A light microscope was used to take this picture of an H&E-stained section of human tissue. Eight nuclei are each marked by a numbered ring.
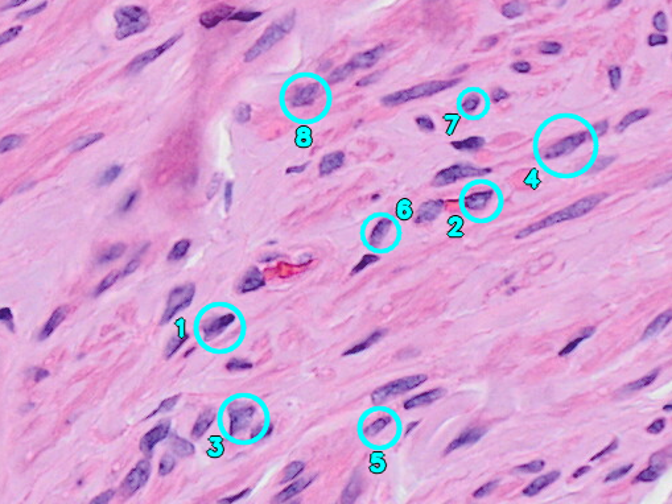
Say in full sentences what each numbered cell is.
Cell 1 is a fibroblast, cell 2 is an endothelial cell, cell 3 is a fibroblast, cell 4 is a smooth muscle cell, cell 5 is a smooth muscle cell, cell 6 is a smooth muscle cell, cell 7 is a smooth muscle cell and cell 8 is a smooth muscle cell.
